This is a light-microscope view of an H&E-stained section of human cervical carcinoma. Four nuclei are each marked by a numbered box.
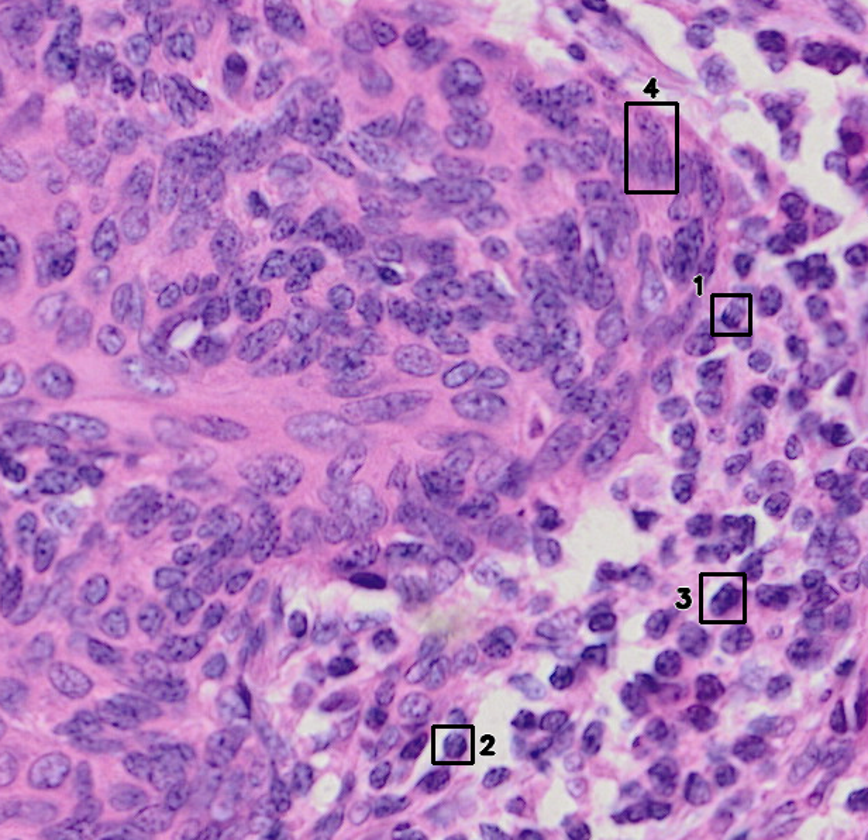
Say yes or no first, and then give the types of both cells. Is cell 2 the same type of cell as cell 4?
No, cell 2 is typed as a lymphocyte, and cell 4 is typed as a squamous carcinoma cell.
